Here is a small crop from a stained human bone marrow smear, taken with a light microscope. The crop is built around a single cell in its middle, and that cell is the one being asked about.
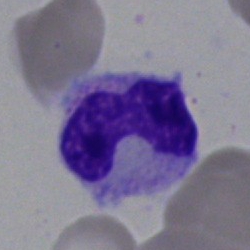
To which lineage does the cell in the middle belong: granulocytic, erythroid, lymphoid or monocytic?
granulocytic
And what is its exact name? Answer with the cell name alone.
band neutrophil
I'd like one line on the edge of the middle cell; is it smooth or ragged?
The border of the cell is irregular, being either ragged or extended into projections.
